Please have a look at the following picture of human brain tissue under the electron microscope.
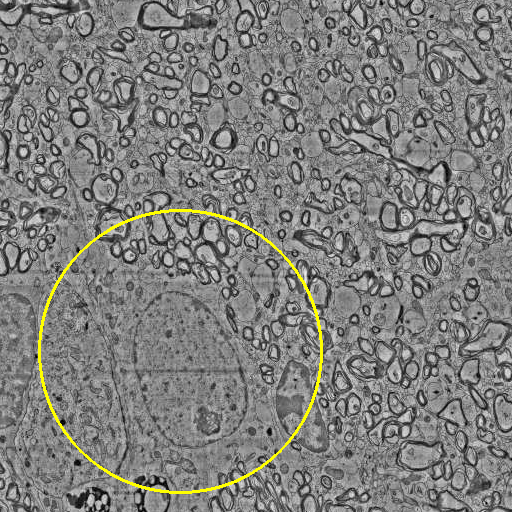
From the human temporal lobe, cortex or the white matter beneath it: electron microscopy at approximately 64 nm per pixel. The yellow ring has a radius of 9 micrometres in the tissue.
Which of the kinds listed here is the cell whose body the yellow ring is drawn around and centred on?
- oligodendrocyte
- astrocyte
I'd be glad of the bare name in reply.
astrocyte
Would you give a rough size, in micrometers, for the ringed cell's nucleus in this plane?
Clearly longer than it is wide in this plane, the nucleus measures roughly 10 by 7 micrometres.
